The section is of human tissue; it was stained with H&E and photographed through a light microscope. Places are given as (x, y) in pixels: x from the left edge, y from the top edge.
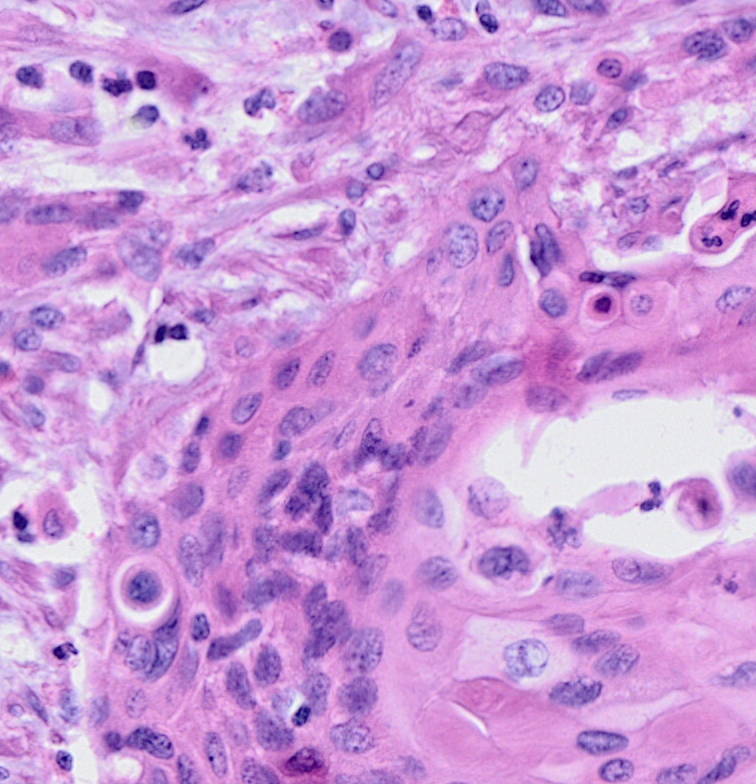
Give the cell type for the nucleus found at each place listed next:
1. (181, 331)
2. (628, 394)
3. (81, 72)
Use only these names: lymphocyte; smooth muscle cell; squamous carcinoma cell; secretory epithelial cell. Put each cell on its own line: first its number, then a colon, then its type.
1: lymphocyte
2: squamous carcinoma cell
3: lymphocyte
